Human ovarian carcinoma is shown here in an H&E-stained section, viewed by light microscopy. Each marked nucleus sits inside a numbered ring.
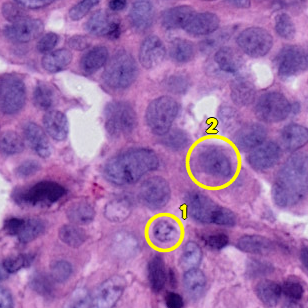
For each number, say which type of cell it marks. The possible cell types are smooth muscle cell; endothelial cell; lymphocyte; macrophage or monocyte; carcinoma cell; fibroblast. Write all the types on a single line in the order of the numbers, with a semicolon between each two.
macrophage or monocyte; carcinoma cell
